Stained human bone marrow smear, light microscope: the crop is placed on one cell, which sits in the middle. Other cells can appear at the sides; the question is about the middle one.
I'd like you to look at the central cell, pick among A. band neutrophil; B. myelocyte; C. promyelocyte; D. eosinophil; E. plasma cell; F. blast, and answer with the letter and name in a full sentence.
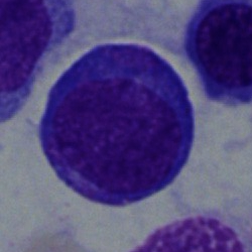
The centered cell is a blast, which is why option F is right.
